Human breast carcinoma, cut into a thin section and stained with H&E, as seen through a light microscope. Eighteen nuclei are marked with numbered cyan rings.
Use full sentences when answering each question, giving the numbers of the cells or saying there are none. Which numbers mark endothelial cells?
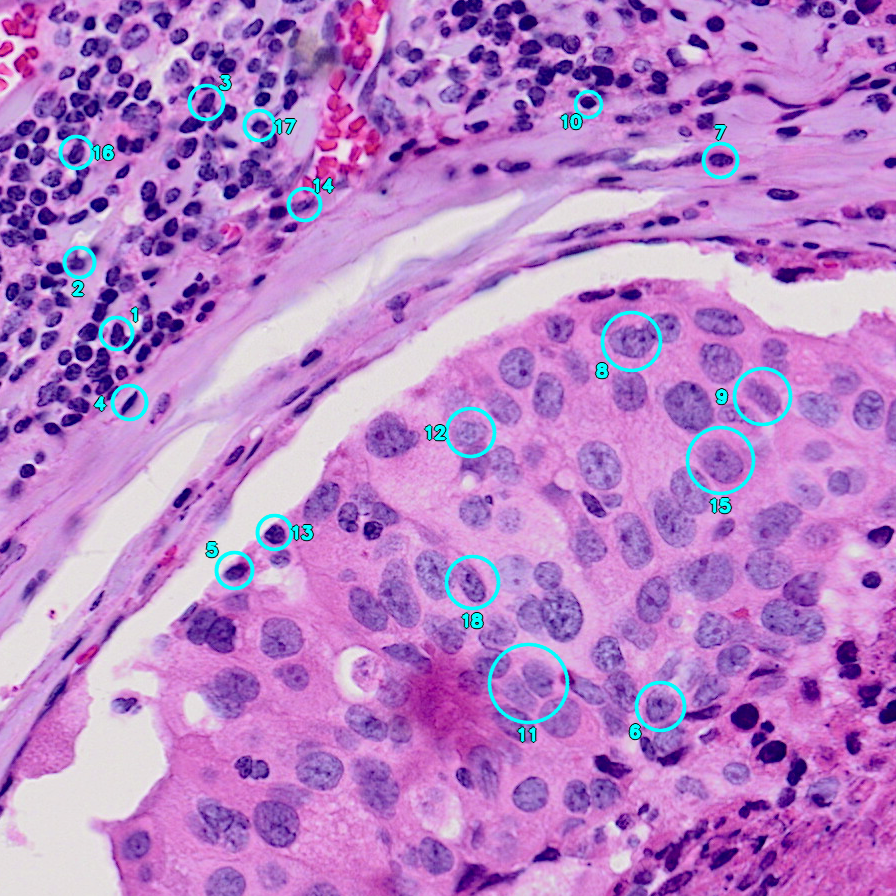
Exactly one numbered cell is an endothelial cell, and that cell is number 14.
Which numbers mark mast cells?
Response: cell 7 is a mast cell, and no other numbered cell is.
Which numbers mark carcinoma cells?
The cells numbered 6, 8, 9, 11, 12, 15 and 18 are, by type, carcinoma cells.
